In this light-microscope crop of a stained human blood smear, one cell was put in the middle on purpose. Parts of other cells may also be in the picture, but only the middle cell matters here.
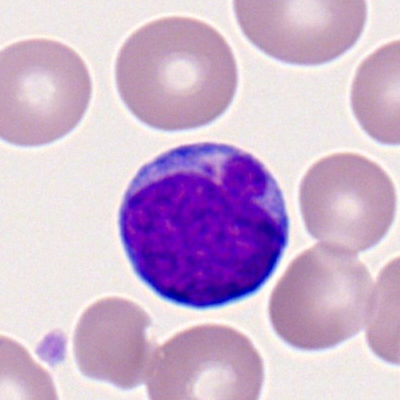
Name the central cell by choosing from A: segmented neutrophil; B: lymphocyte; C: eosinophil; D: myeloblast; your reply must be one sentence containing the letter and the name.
Option D is right, the centrally situated cell being a myeloblast.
